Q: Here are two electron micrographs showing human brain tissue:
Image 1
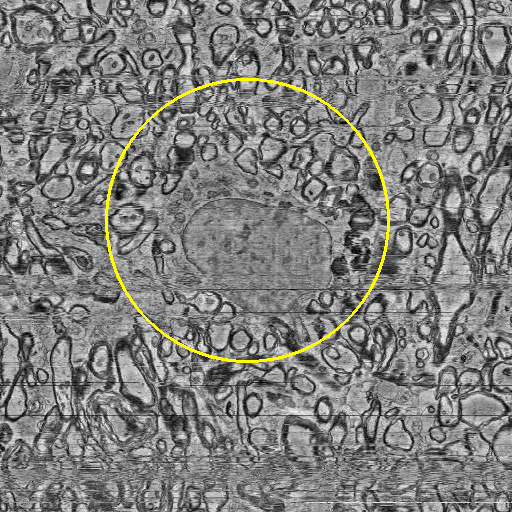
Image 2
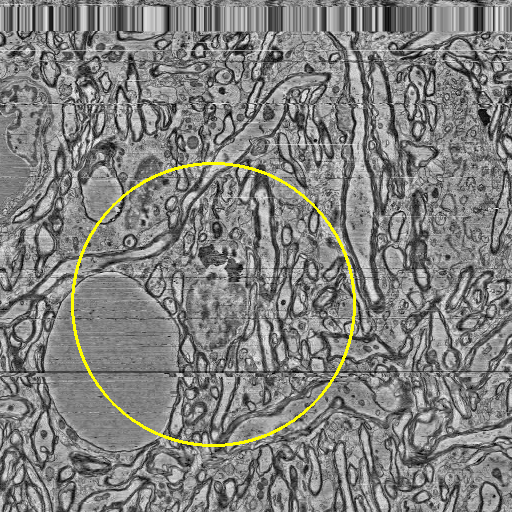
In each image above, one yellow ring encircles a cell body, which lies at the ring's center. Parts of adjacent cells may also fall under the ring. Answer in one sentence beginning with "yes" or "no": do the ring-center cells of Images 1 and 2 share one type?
Yes, in Images 1 and 2, the ring-center cells are both of one type.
